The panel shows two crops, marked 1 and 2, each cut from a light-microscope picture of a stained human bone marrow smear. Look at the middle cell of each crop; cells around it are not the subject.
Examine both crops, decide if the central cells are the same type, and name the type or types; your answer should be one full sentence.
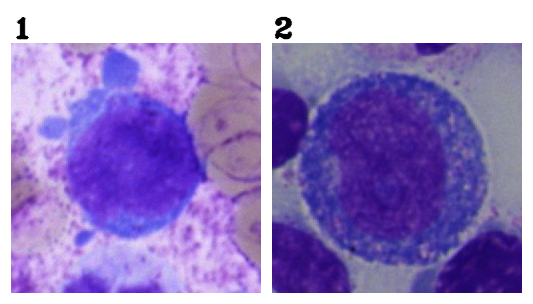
No, the cell of interest in crop 1 is a blast, and in crop 2 it is a promyelocyte.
